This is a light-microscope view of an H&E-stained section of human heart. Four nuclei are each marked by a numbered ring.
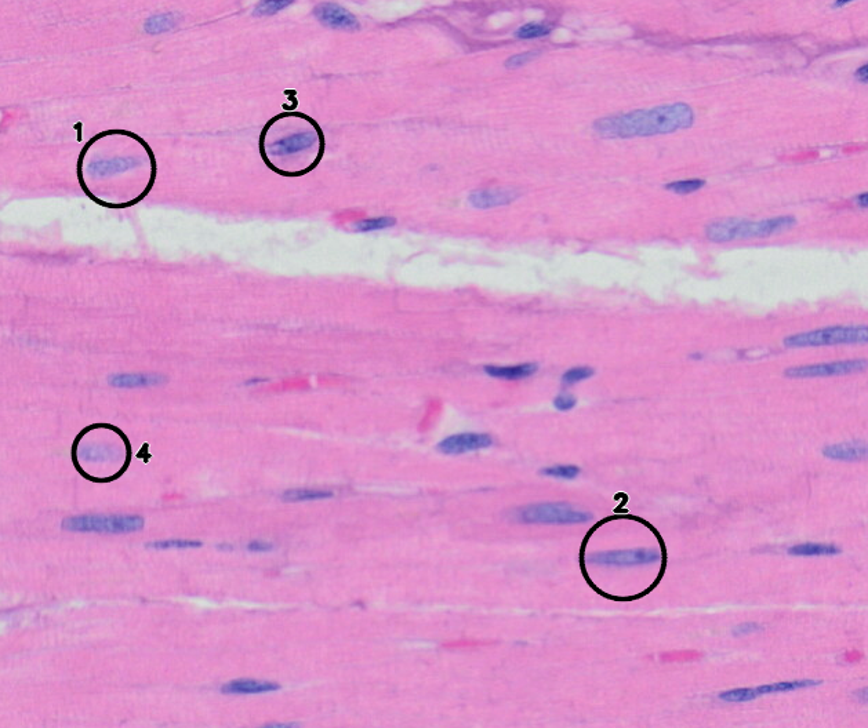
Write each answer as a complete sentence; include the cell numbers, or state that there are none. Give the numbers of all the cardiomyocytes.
Cells 1, 2 and 4 in the section are typed as cardiomyocytes.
